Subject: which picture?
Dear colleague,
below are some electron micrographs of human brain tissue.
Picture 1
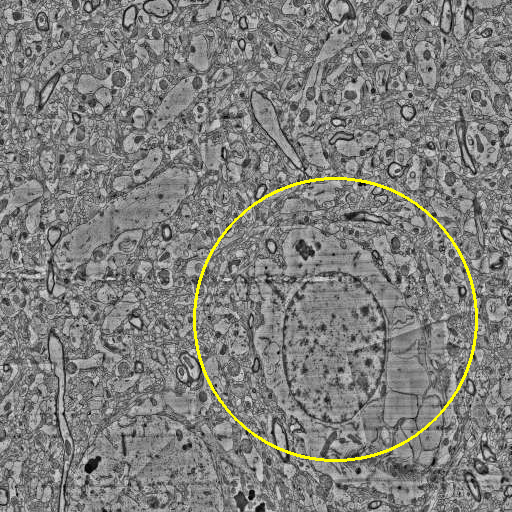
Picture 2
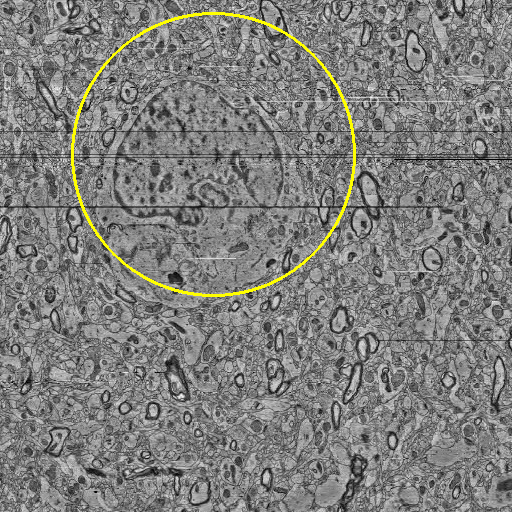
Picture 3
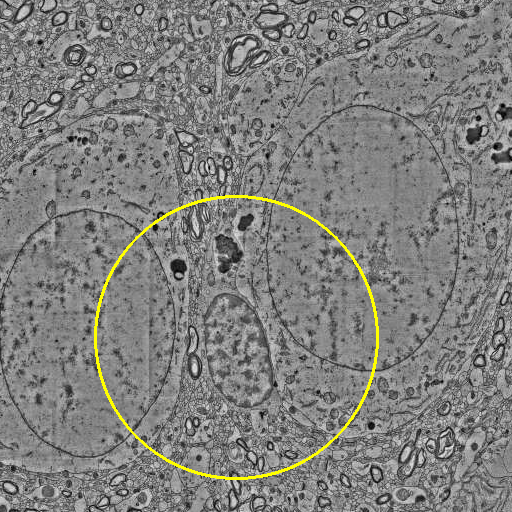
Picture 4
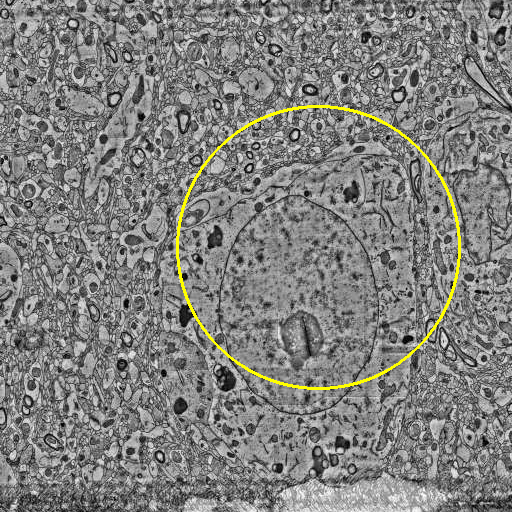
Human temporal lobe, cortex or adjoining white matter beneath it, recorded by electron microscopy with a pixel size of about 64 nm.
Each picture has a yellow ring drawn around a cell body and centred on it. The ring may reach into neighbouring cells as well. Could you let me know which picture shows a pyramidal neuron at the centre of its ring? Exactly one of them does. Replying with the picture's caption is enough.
Picture 4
